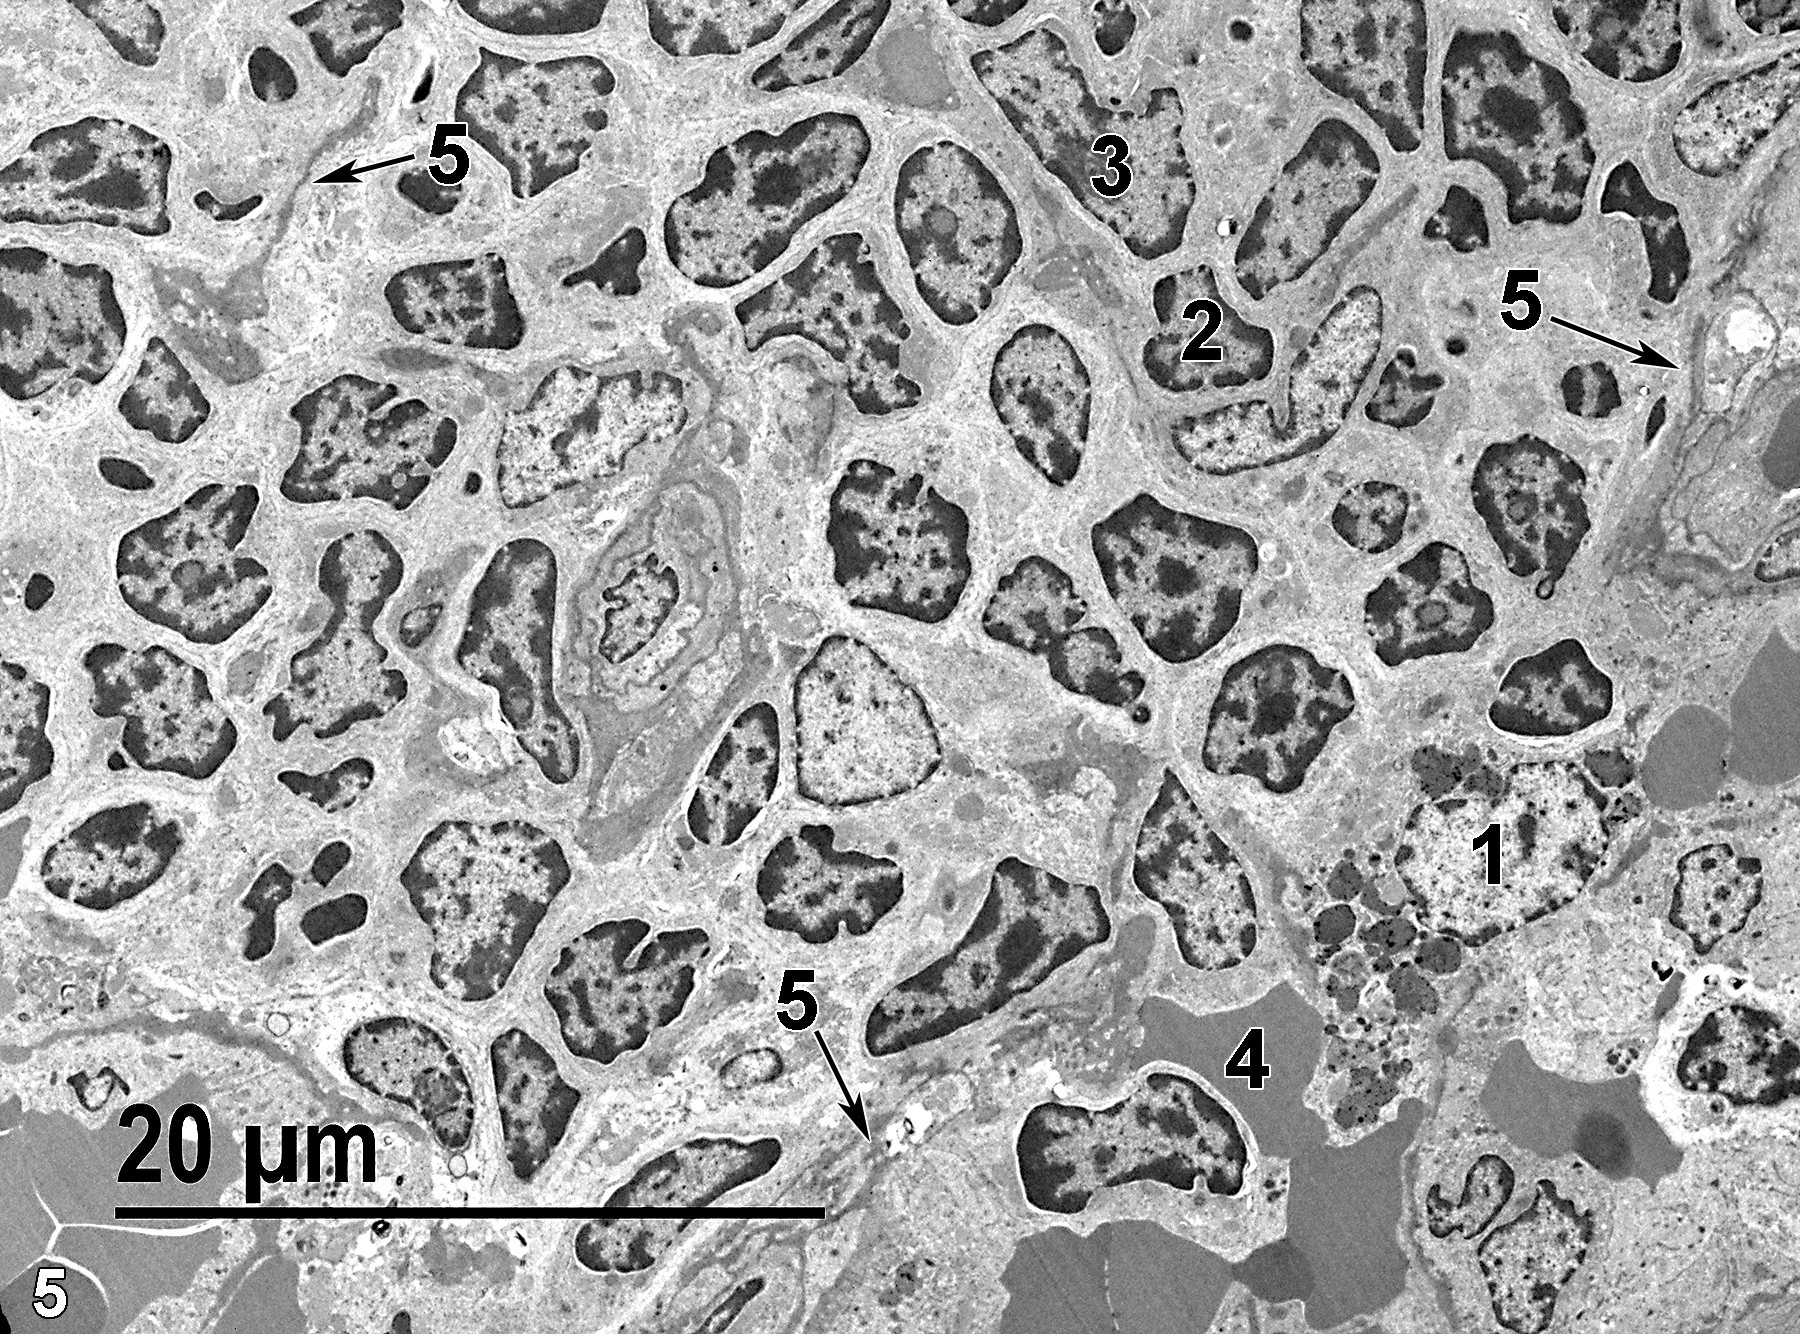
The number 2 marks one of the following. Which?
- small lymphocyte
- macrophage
small lymphocyte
